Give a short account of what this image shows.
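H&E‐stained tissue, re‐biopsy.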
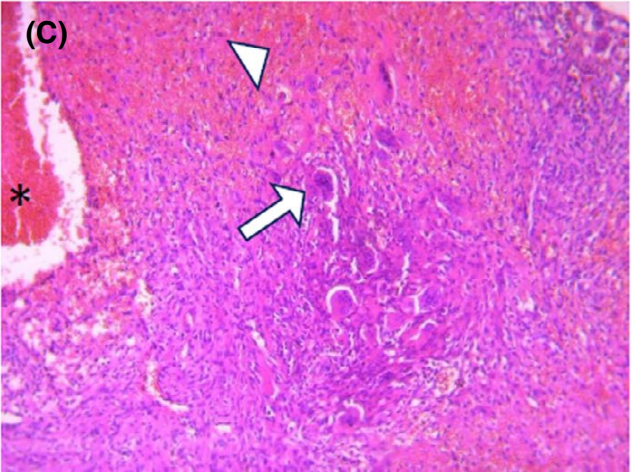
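Lesional tissue with a blood-filled cystic space at the left edge and stromal giant cells in the centre. The space is packed with red blood cells. The stroma consists of spindle-shaped cells with elongated dark nuclei. Scattered large multinucleated giant cells lie within it. Red blood cells spread diffusely through the upper part of the stroma as hemorrhage.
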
